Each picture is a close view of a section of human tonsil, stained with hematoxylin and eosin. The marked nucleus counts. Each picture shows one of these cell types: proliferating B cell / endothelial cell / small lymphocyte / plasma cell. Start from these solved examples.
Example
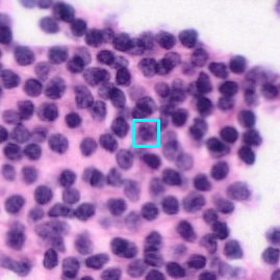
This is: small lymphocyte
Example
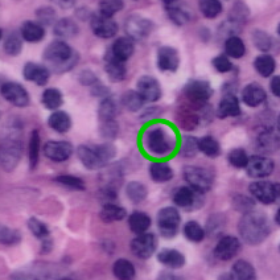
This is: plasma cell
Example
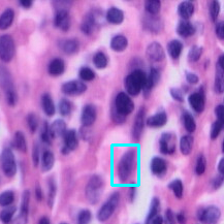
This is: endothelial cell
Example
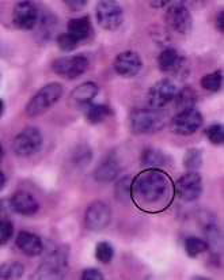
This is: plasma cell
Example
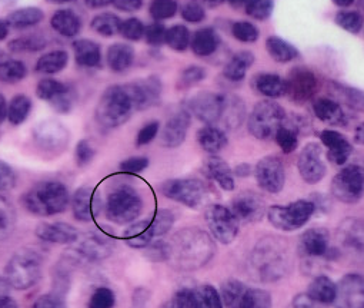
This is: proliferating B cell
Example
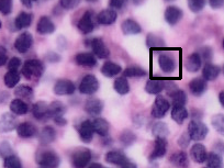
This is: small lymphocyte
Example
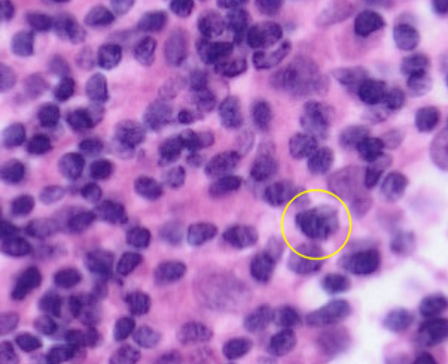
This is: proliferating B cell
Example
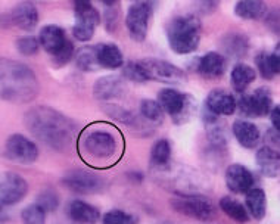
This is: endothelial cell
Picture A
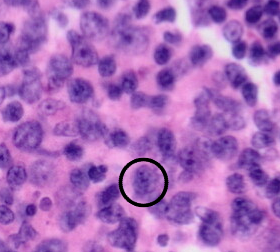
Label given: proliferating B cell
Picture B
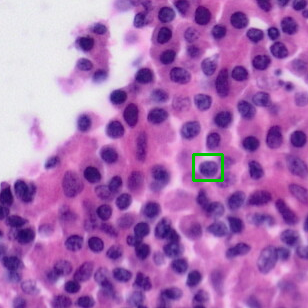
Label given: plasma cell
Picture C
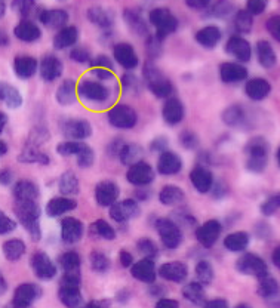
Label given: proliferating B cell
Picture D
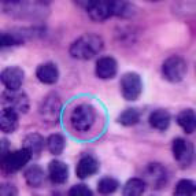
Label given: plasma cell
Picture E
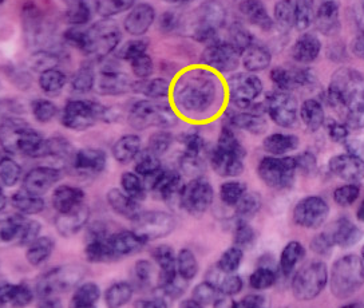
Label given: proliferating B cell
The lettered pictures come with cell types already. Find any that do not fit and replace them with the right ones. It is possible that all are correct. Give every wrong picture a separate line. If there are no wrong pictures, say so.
C: not proliferating B cell but small lymphocyte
